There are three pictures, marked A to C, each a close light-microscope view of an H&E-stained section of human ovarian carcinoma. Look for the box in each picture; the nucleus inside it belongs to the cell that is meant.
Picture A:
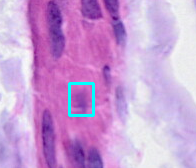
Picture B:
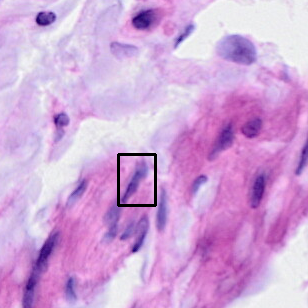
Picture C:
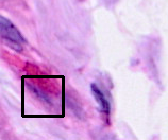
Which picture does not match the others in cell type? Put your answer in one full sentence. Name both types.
All pictures except C show smooth muscle cells; picture C shows an endothelial cell.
